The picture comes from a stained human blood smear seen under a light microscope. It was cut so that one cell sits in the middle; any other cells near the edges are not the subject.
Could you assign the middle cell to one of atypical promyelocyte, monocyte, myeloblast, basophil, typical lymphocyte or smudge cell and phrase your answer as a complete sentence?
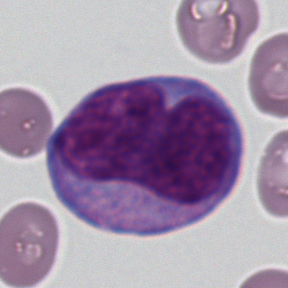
In the central position of this crop, the cell is an atypical promyelocyte.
